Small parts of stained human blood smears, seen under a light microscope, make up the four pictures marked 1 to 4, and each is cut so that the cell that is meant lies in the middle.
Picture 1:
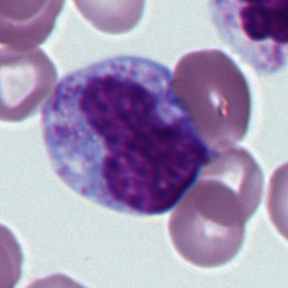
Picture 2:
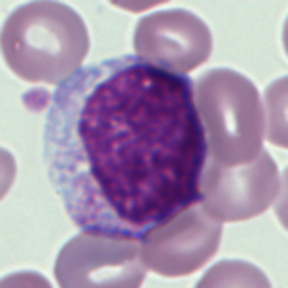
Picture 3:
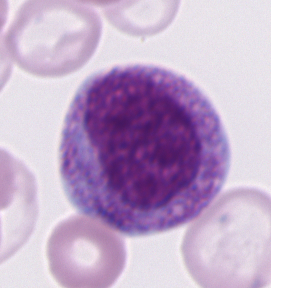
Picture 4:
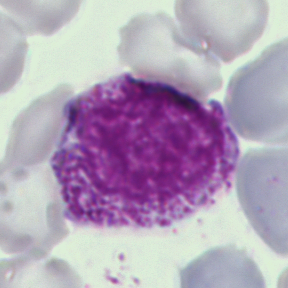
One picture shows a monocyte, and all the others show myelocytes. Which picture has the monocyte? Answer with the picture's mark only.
1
